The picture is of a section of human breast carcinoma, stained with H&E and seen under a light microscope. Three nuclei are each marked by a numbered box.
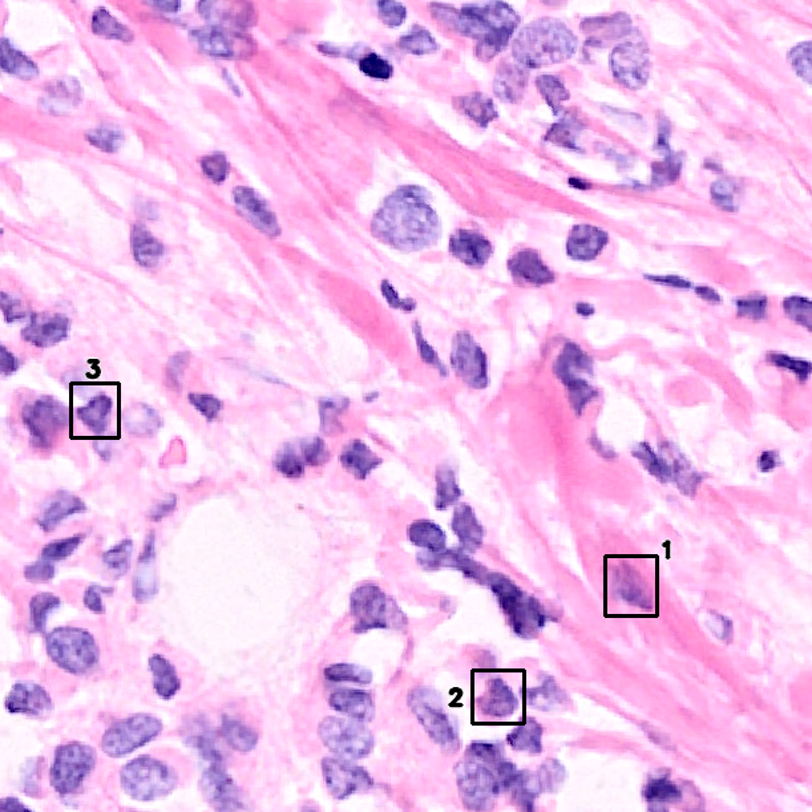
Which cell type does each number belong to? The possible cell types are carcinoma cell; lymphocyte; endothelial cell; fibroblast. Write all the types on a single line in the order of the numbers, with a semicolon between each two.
fibroblast; carcinoma cell; carcinoma cell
